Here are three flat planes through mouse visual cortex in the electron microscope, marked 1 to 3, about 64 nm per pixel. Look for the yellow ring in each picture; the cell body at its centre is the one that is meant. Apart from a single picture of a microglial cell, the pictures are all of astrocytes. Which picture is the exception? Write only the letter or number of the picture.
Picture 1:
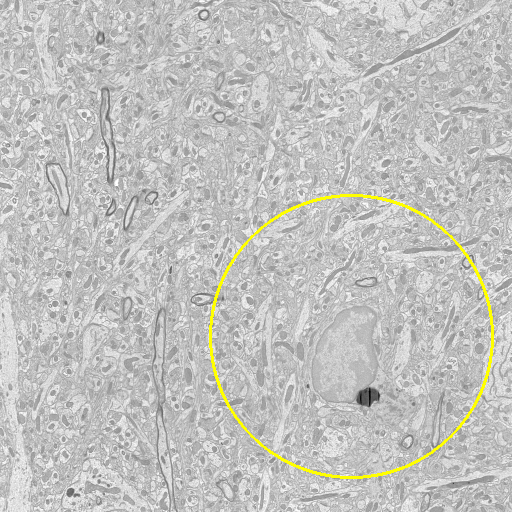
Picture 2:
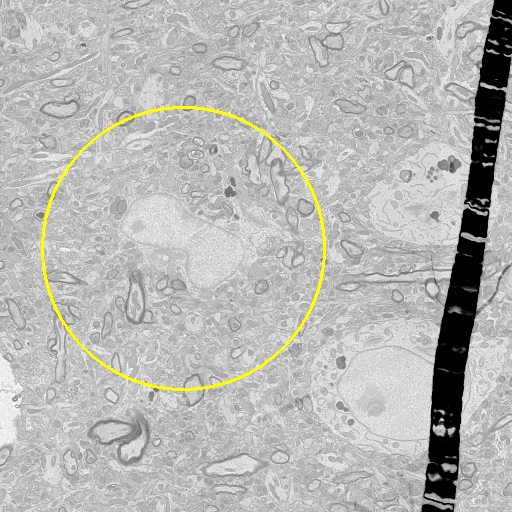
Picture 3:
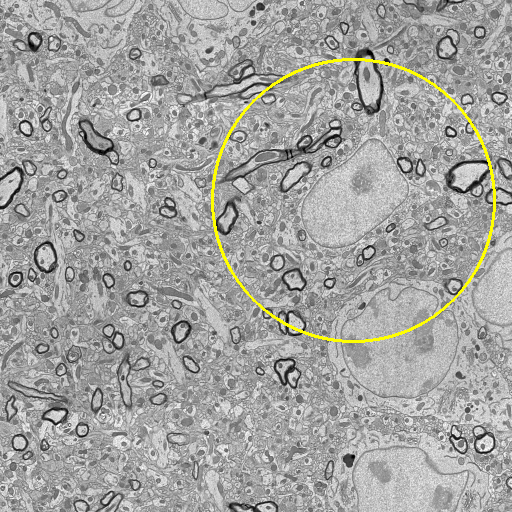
1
